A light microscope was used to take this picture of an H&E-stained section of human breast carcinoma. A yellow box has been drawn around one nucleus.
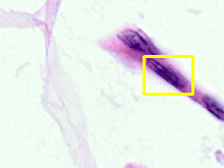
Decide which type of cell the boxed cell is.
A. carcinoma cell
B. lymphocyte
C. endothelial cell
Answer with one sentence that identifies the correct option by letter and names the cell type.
Option C gets it right, as the boxed cell is an endothelial cell.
